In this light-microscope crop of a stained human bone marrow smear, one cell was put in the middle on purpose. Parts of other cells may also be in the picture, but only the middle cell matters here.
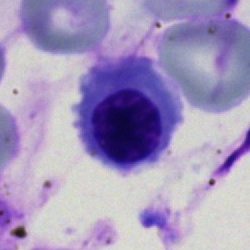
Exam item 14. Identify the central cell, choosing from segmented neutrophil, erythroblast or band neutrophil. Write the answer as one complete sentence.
To answer, the cell in the center of the crop is an erythroblast.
